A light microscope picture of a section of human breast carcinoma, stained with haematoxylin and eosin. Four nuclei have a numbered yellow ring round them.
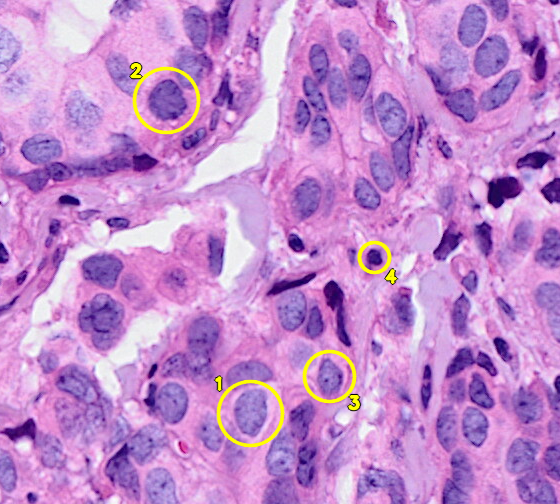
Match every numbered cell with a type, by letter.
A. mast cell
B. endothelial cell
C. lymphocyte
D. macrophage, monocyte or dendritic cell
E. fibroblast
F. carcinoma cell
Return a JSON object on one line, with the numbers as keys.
{"1": "F", "2": "F", "3": "F", "4": "A"}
